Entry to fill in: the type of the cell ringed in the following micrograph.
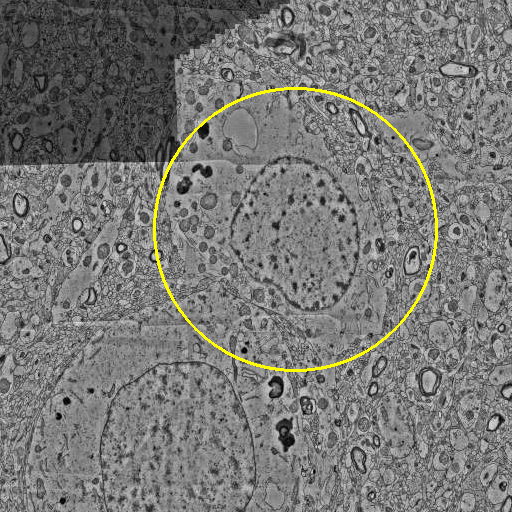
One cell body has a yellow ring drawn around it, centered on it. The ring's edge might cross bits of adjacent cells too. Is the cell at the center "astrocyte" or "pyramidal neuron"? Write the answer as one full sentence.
This entry names an astrocyte as the cell whose body lies at the ring's center.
